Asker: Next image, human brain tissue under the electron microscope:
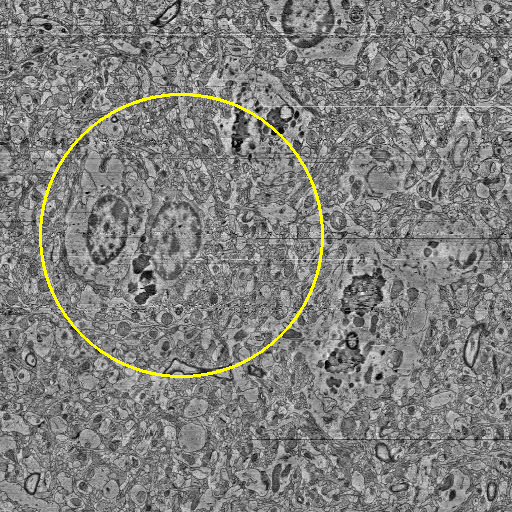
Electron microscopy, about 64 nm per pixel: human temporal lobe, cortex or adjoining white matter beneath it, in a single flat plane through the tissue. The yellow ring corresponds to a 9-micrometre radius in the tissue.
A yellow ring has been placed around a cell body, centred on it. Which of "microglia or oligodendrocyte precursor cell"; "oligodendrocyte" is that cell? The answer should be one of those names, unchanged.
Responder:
oligodendrocyte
